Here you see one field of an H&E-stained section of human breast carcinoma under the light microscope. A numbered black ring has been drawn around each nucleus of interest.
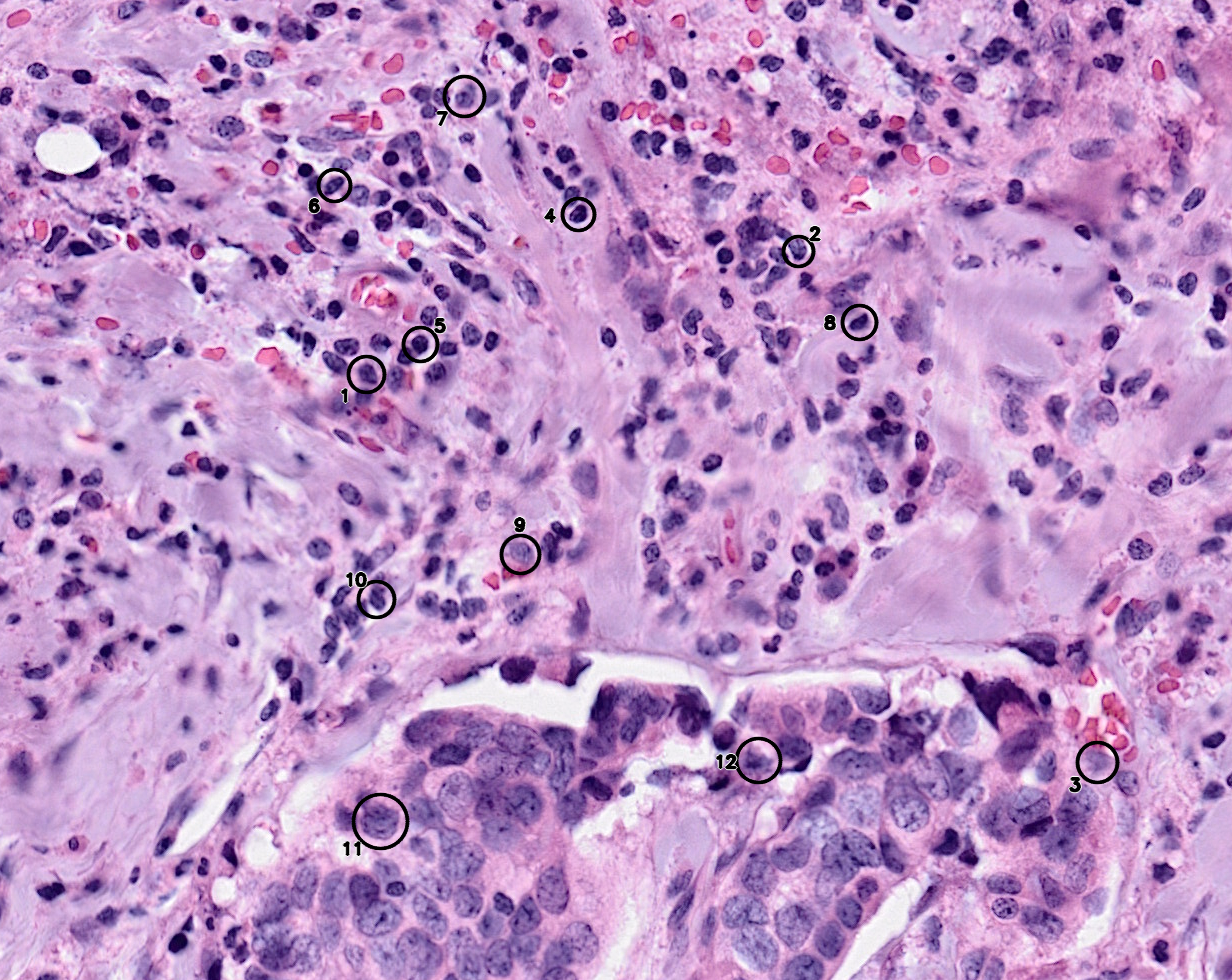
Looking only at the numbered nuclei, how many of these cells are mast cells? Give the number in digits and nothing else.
1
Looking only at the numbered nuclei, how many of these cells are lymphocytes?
7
